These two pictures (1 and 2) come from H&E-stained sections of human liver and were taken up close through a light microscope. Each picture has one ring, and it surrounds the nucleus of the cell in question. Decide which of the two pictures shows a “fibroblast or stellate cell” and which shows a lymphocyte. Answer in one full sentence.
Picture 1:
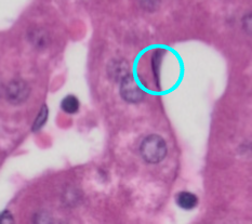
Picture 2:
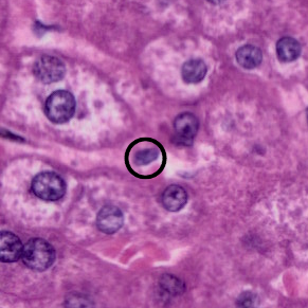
It is picture 1 that shows a “fibroblast or stellate cell”, and picture 2 that shows a lymphocyte.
